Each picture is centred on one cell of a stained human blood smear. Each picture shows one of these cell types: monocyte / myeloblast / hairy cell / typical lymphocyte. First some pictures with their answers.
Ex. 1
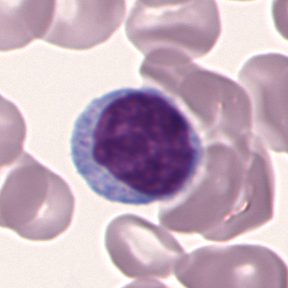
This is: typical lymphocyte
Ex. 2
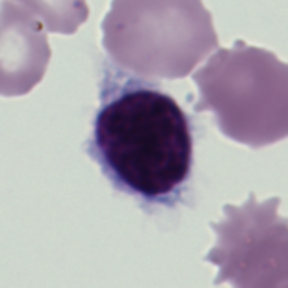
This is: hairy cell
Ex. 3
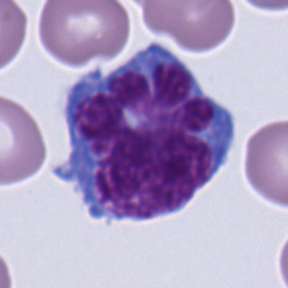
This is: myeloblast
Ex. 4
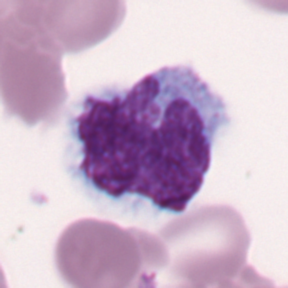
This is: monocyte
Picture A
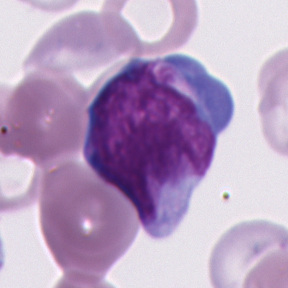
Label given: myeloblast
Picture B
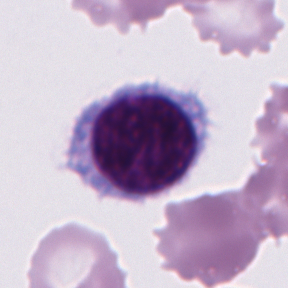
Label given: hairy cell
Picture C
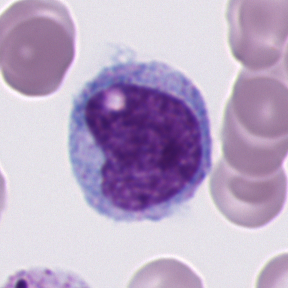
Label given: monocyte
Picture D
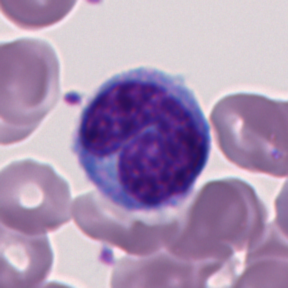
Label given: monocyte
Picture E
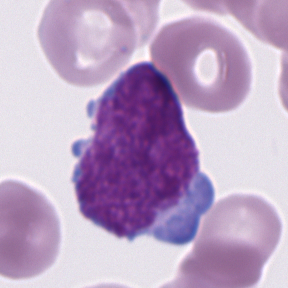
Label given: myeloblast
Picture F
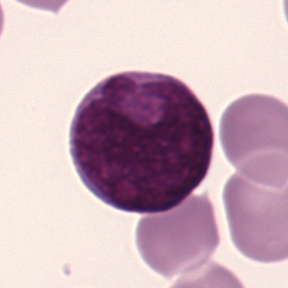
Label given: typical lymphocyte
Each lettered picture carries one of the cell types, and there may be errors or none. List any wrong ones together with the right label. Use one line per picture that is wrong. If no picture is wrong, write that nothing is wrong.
F should be myeloblast, not typical lymphocyte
